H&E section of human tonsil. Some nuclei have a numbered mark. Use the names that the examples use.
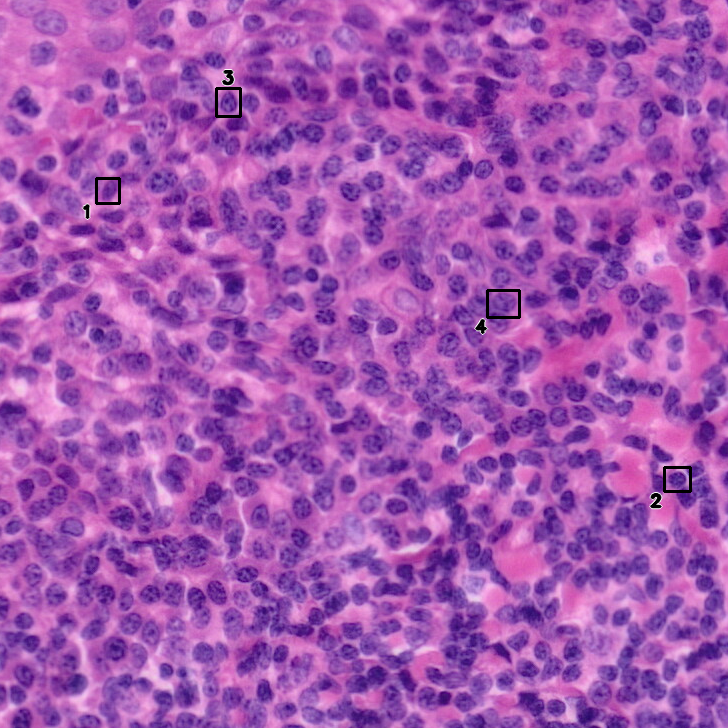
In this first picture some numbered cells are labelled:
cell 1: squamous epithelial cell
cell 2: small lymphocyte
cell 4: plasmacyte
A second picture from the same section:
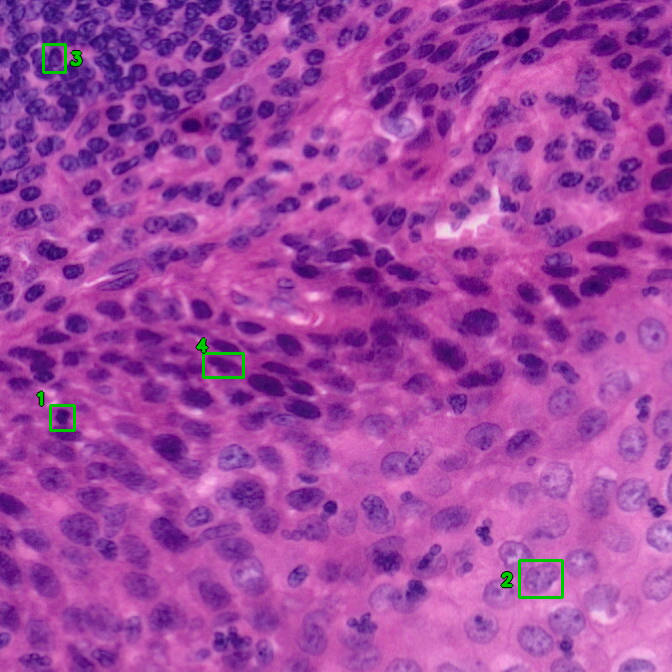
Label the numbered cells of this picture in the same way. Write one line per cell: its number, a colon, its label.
1: squamous epithelial cell
2: squamous epithelial cell
3: small lymphocyte
4: squamous epithelial cell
